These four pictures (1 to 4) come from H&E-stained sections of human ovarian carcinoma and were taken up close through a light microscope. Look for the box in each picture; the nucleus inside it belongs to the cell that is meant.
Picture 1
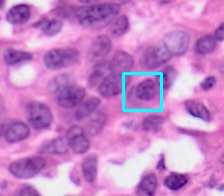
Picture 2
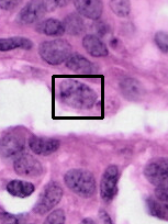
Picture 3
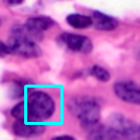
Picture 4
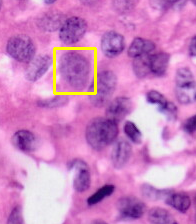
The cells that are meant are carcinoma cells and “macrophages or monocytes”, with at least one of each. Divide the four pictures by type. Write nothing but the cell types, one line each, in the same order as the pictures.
carcinoma cell
macrophage or monocyte
carcinoma cell
carcinoma cell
